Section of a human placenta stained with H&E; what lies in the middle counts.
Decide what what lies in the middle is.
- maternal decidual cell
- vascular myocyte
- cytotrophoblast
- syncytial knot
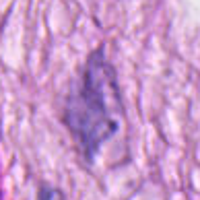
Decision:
vascular myocyte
